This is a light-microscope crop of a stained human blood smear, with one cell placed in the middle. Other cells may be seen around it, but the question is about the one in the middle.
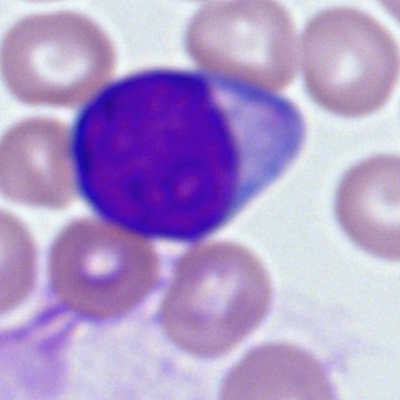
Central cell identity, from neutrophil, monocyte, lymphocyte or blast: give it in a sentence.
In short, the cell at the center is a blast.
